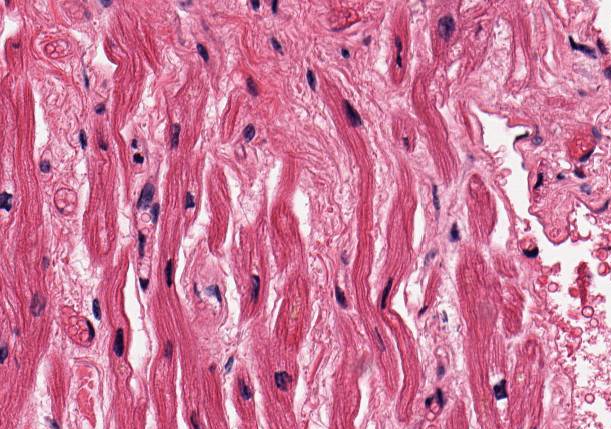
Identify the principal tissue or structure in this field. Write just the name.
myocardium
